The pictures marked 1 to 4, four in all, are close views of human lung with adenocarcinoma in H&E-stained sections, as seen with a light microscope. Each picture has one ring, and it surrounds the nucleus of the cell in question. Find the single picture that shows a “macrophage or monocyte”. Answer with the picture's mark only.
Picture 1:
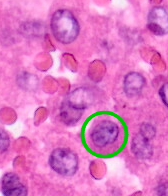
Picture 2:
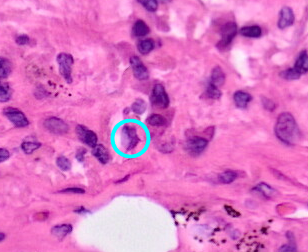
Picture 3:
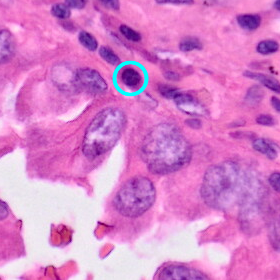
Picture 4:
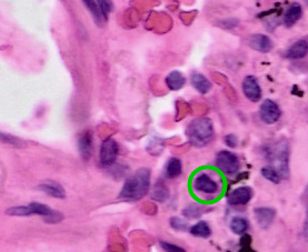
1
